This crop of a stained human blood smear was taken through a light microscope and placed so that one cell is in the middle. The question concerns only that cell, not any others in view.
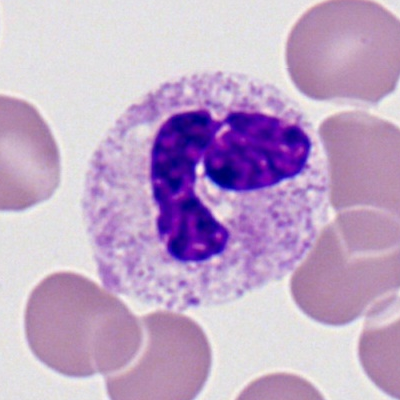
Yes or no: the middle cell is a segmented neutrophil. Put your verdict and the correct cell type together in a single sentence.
Yes, a segmented neutrophil is the cell positioned in the middle of the field.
